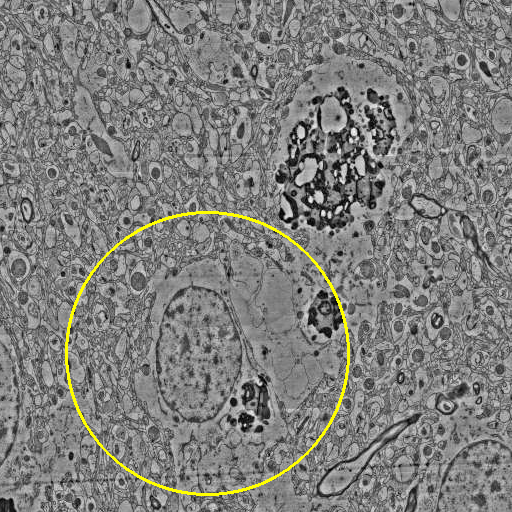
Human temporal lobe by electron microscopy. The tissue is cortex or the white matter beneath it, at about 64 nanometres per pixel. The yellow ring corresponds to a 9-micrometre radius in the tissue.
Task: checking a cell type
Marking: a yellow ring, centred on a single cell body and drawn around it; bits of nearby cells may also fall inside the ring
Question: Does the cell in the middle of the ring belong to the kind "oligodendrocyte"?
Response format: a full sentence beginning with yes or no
No, the cell marked at the ring's centre in the picture is of a different kind.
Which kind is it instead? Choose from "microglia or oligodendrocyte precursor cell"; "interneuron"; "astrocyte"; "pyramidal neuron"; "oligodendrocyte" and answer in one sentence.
That cell in the ring is an astrocyte instead.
